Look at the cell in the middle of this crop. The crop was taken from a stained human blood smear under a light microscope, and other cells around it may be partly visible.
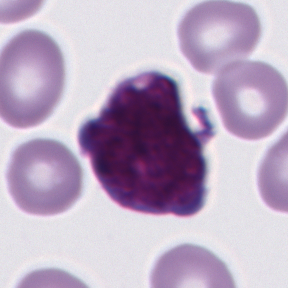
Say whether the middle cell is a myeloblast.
yes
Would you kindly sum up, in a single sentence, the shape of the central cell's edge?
The boundary of the cell runs irregularly, ragged in parts or drawn into projections.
